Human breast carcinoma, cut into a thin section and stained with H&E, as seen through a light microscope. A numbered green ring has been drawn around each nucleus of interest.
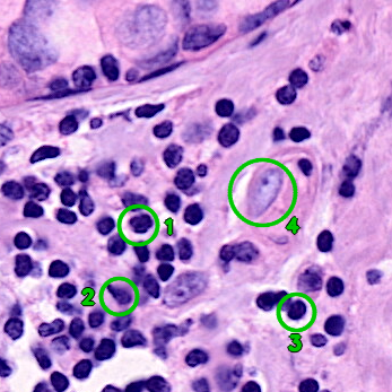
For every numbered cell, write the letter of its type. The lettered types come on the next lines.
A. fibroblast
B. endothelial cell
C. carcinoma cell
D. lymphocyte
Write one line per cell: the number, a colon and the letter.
1: D
2: D
3: D
4: B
